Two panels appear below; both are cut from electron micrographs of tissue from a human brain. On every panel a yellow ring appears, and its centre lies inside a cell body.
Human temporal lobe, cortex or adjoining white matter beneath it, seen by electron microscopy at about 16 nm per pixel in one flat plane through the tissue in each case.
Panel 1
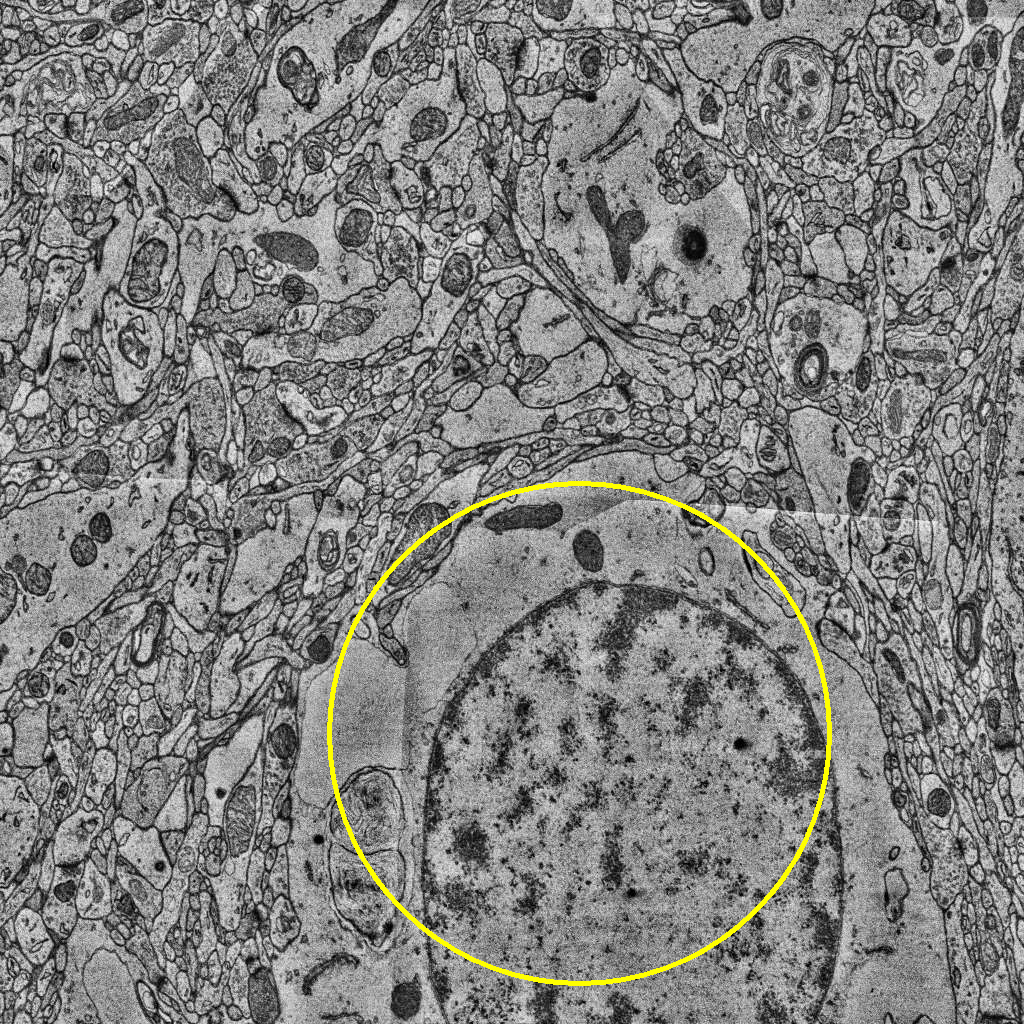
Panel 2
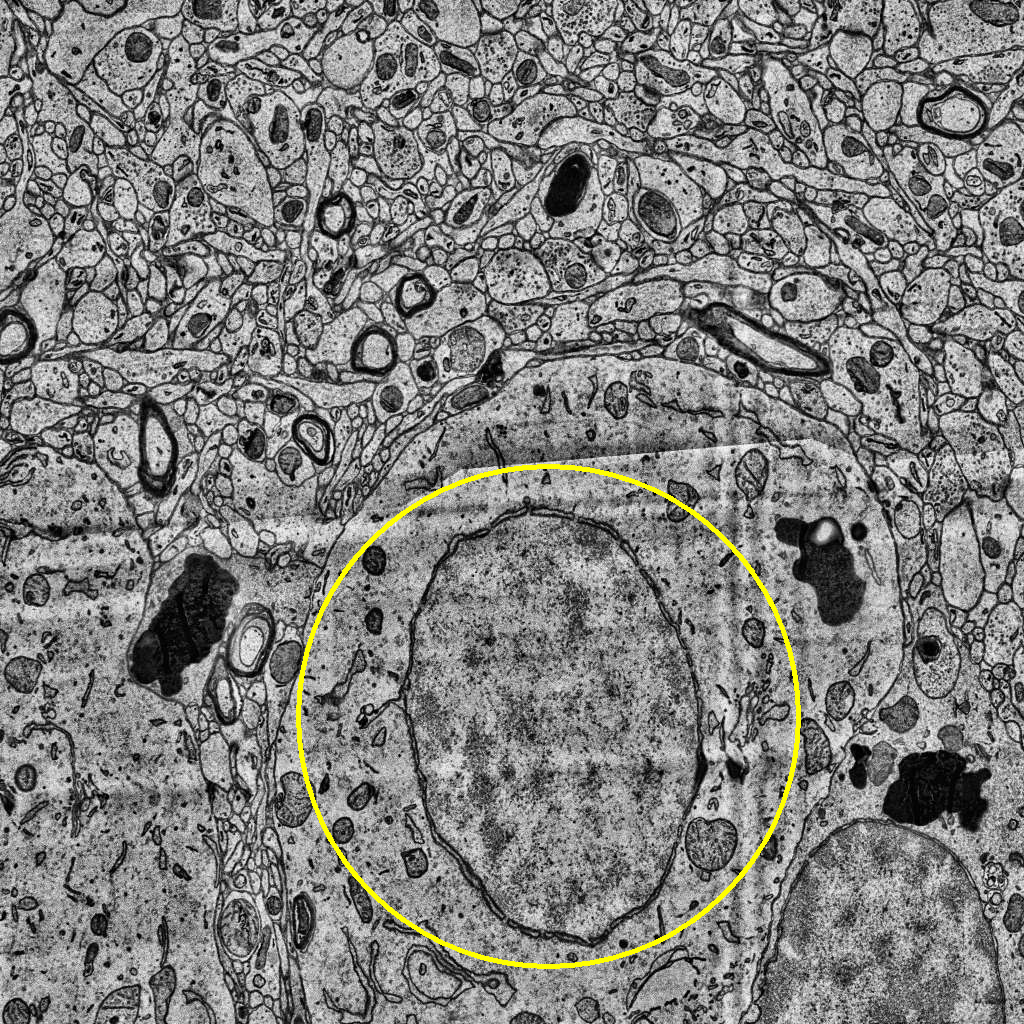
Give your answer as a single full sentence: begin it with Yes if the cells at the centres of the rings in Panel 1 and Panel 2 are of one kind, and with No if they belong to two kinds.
No, the cells at the middle of the rings in Panels 1 and 2 are of two kinds.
